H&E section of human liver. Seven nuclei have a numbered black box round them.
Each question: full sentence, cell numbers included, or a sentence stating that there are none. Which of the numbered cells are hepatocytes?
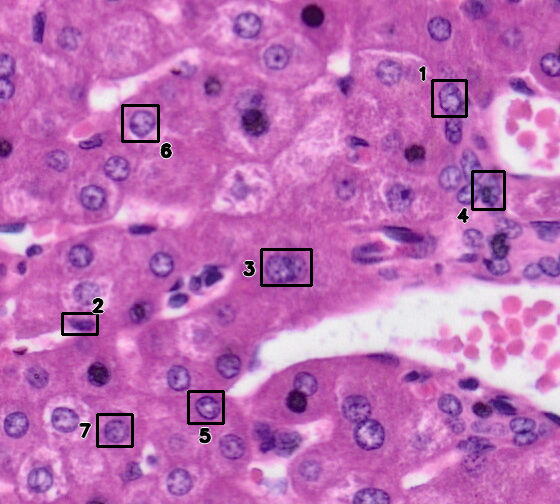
The cells tagged with numbers 3, 5, 6 and 7 are hepatocytes.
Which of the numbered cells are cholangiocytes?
In short, the numbered cells 1 and 4 are cholangiocytes.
